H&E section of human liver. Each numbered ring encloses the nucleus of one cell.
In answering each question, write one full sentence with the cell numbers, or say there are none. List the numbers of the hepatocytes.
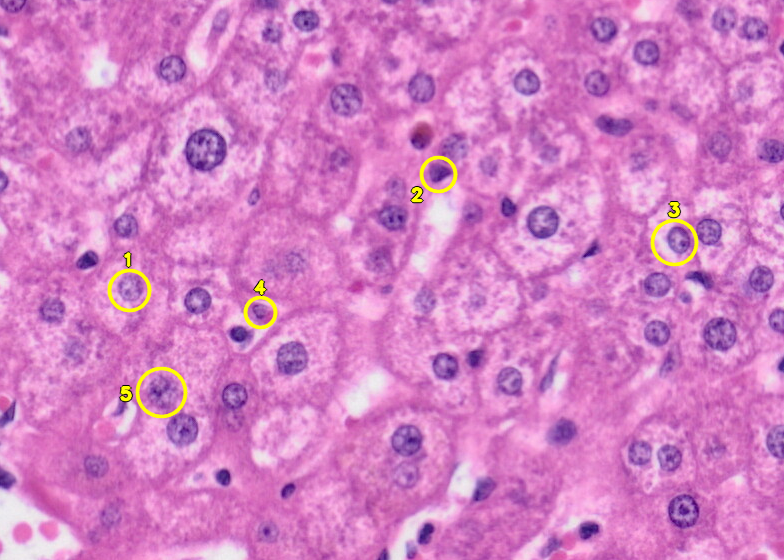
Within the section, cells numbered 1, 3 and 5 are hepatocytes.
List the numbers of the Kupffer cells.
Only the cell numbered 4 is a Kupffer cell, and the others are something else.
